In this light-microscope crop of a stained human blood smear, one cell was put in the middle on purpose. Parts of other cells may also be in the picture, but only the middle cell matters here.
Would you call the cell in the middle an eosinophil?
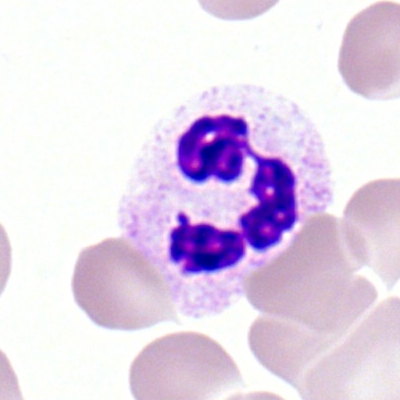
no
